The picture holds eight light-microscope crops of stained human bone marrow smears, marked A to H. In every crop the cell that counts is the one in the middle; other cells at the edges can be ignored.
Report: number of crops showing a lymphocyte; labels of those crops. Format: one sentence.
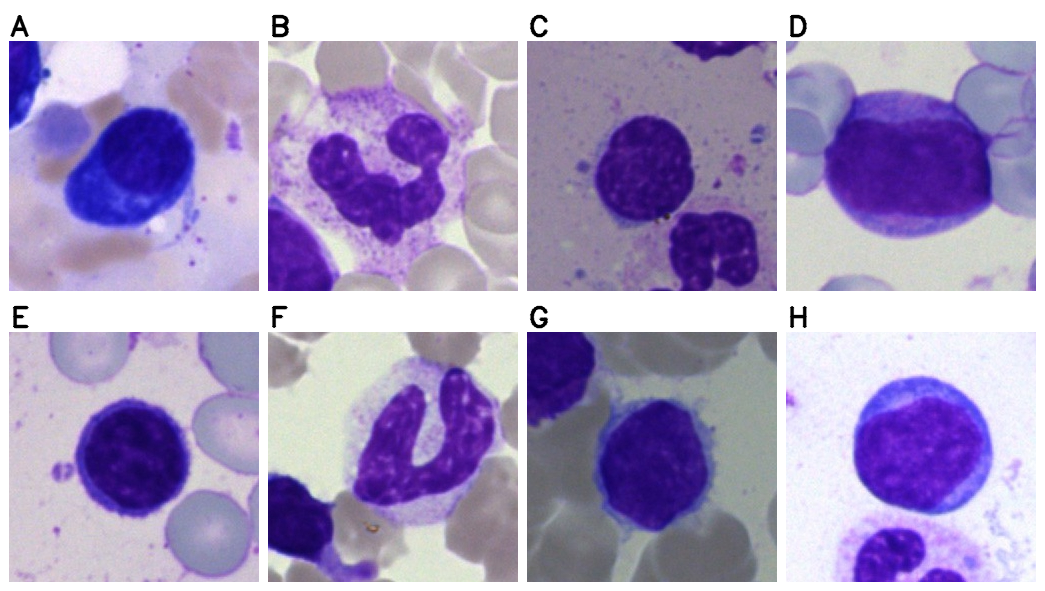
In crops C, E, G and H, that is four crops, the cells are lymphocytes.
